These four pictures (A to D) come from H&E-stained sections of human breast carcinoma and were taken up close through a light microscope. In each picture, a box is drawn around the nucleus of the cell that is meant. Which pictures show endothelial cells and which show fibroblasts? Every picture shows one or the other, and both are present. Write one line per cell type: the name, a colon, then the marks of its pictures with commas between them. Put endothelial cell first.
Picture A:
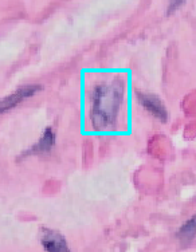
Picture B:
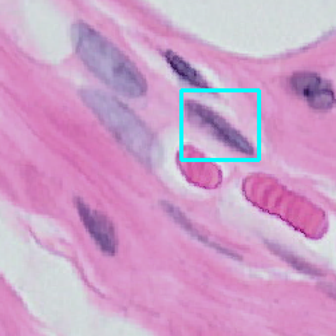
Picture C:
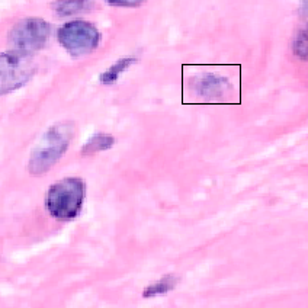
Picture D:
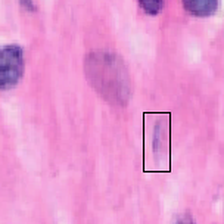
endothelial cell: A, B
fibroblast: C, D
